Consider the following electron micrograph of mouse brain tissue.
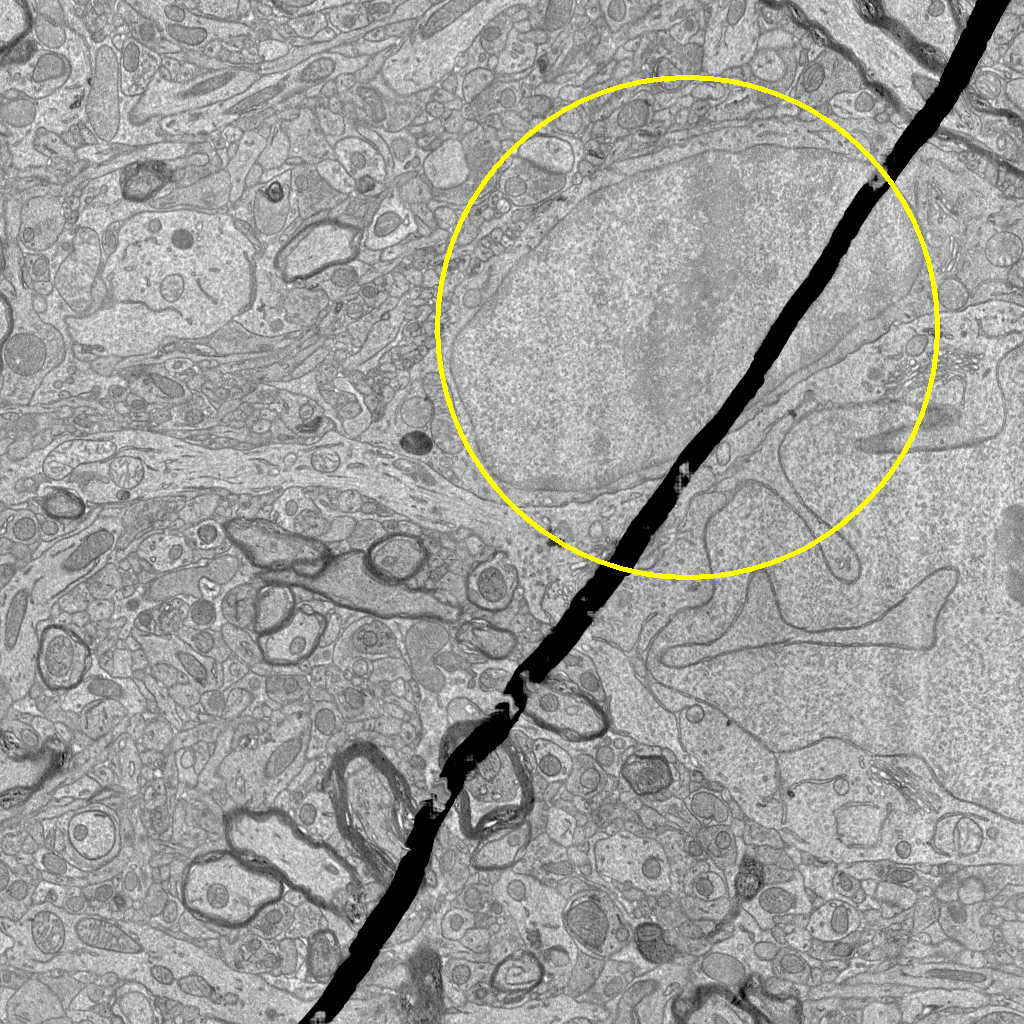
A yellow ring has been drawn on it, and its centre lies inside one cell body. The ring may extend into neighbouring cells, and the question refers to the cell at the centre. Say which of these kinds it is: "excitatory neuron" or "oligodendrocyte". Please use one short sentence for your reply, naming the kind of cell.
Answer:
The centre of the ring falls on an oligodendrocyte.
